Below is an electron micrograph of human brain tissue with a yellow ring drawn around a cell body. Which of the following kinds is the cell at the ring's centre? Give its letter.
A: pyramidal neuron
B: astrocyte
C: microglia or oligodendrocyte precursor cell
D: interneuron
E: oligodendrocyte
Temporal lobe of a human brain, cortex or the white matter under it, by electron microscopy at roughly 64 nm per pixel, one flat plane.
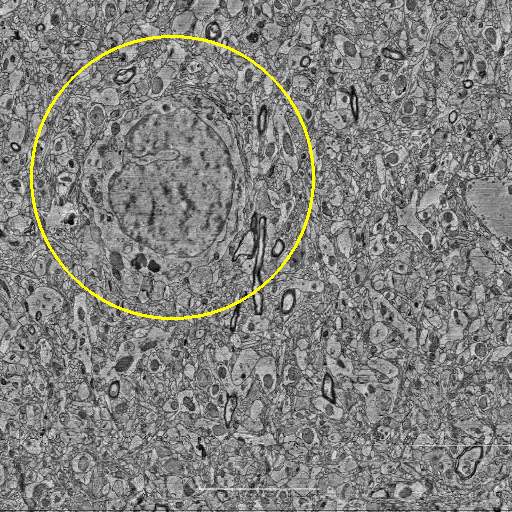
D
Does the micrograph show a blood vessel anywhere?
No.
